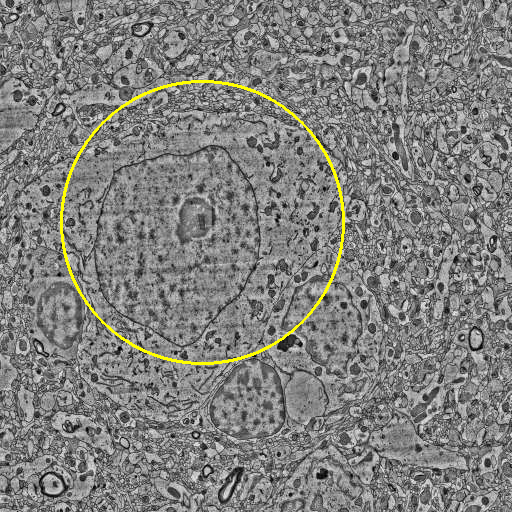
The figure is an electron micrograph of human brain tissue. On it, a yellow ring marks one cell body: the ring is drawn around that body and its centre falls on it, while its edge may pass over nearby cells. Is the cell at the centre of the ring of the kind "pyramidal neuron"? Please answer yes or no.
yes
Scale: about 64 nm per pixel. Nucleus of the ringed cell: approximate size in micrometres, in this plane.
About 13 micrometres by about 11 micrometres in this plane.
